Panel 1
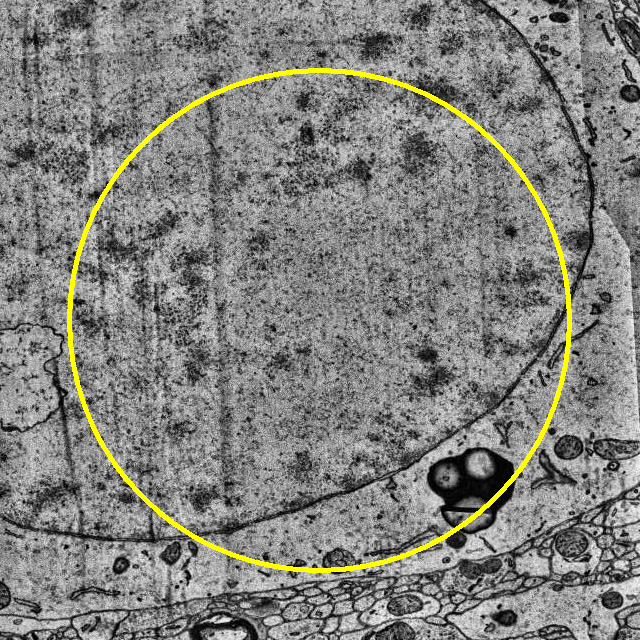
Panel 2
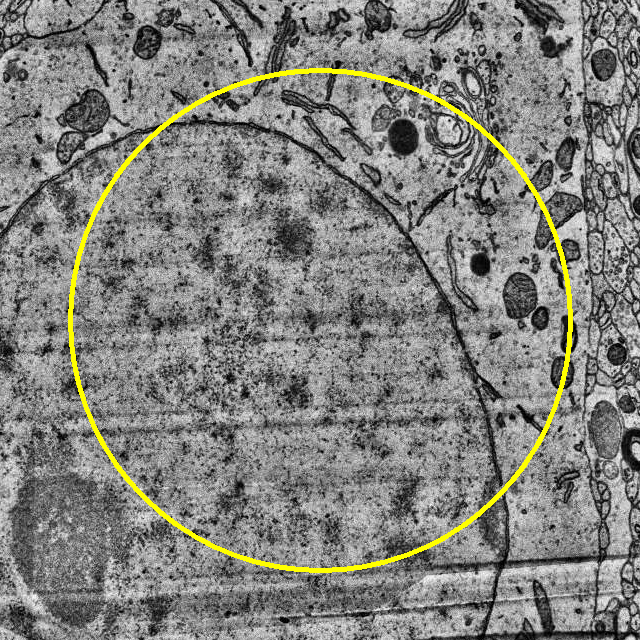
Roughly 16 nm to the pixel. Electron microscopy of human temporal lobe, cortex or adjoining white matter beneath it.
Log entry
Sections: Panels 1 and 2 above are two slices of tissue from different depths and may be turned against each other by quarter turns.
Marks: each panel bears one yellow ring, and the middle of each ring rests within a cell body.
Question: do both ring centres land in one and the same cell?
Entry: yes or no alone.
yes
